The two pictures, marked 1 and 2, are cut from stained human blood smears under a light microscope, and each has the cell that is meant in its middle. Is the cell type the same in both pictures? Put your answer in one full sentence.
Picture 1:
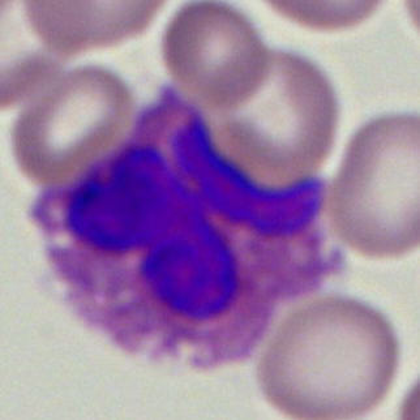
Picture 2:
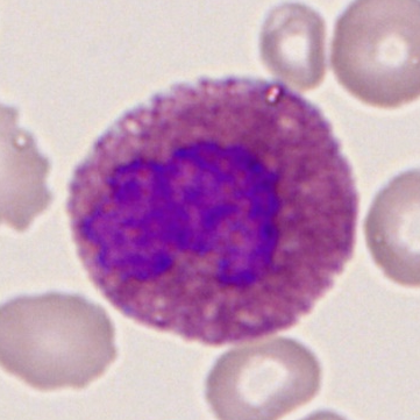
Yes; the cells in both pictures are eosinophils.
